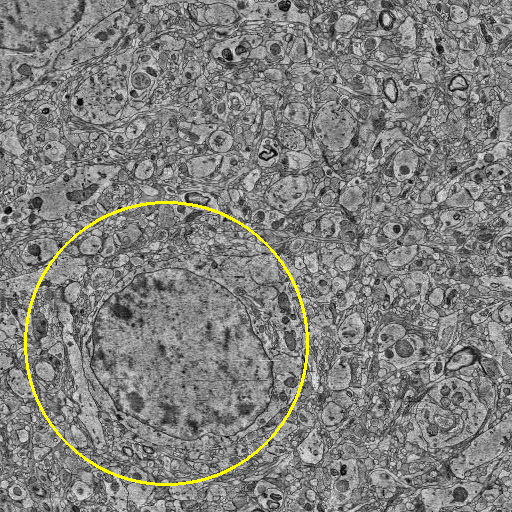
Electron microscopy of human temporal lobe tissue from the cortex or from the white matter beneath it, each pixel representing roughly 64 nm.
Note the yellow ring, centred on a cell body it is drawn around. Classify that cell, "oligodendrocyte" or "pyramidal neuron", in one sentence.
The cell the ring is centred on is a pyramidal neuron.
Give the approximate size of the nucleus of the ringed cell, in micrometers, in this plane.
The nucleus measures about 13 by 10 micrometres in this plane.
